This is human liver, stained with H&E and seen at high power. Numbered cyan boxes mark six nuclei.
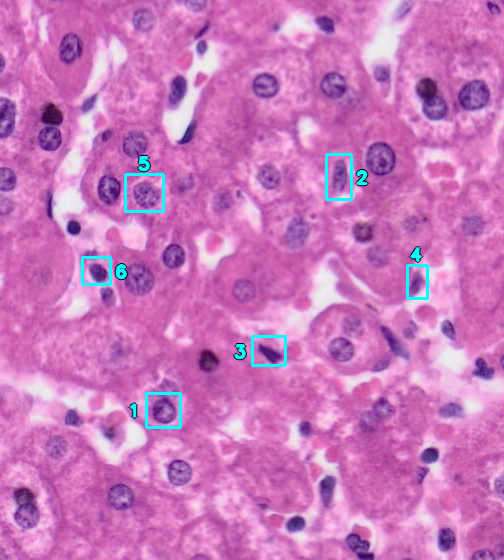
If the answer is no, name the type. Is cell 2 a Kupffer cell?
Yes.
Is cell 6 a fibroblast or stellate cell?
No, it is a lymphocyte.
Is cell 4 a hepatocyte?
No, it is a Kupffer cell.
